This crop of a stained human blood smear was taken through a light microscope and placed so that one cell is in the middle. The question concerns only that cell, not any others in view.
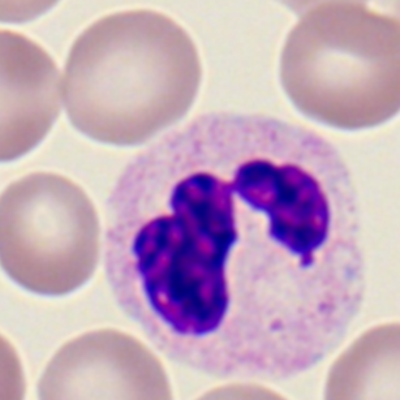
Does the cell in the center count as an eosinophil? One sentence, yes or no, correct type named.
No, the cell at the centre of the crop is a segmented neutrophil and not an eosinophil.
